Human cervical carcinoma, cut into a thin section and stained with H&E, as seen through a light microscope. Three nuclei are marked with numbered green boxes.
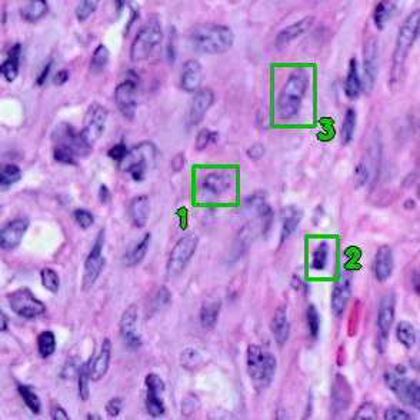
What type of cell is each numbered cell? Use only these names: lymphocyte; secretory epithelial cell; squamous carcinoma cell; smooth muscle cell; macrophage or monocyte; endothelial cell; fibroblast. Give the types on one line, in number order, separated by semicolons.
smooth muscle cell; lymphocyte; smooth muscle cell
